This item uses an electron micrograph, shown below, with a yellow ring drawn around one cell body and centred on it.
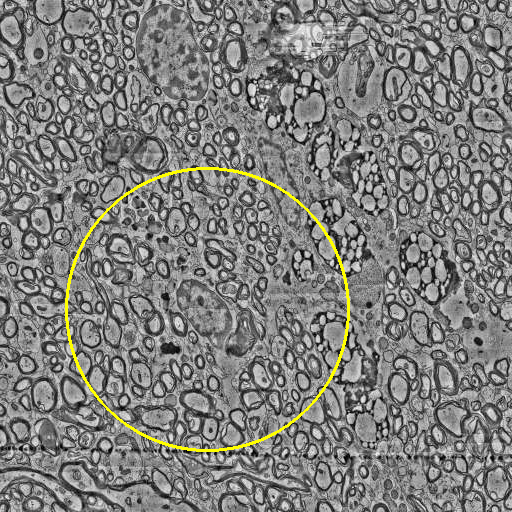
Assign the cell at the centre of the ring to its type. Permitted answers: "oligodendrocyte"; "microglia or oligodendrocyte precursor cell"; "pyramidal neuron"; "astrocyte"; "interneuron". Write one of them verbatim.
microglia or oligodendrocyte precursor cell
